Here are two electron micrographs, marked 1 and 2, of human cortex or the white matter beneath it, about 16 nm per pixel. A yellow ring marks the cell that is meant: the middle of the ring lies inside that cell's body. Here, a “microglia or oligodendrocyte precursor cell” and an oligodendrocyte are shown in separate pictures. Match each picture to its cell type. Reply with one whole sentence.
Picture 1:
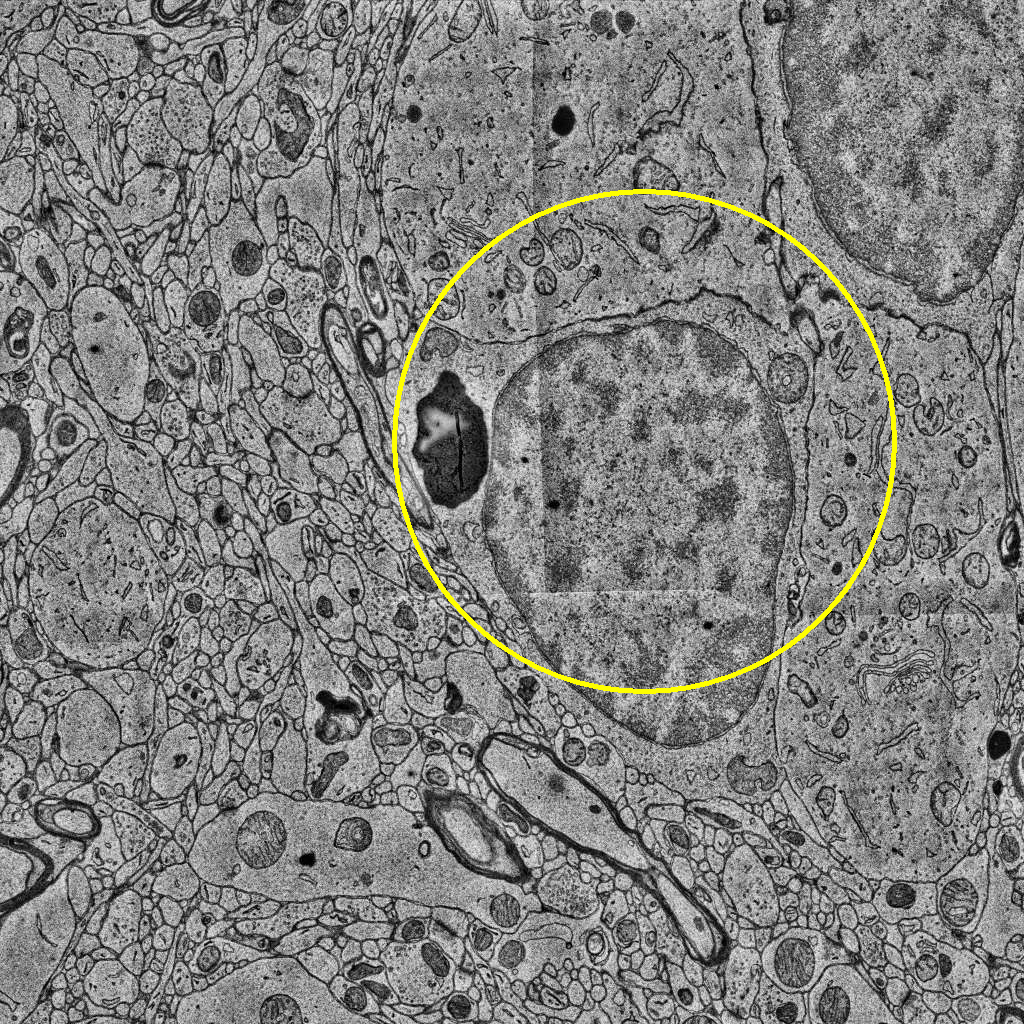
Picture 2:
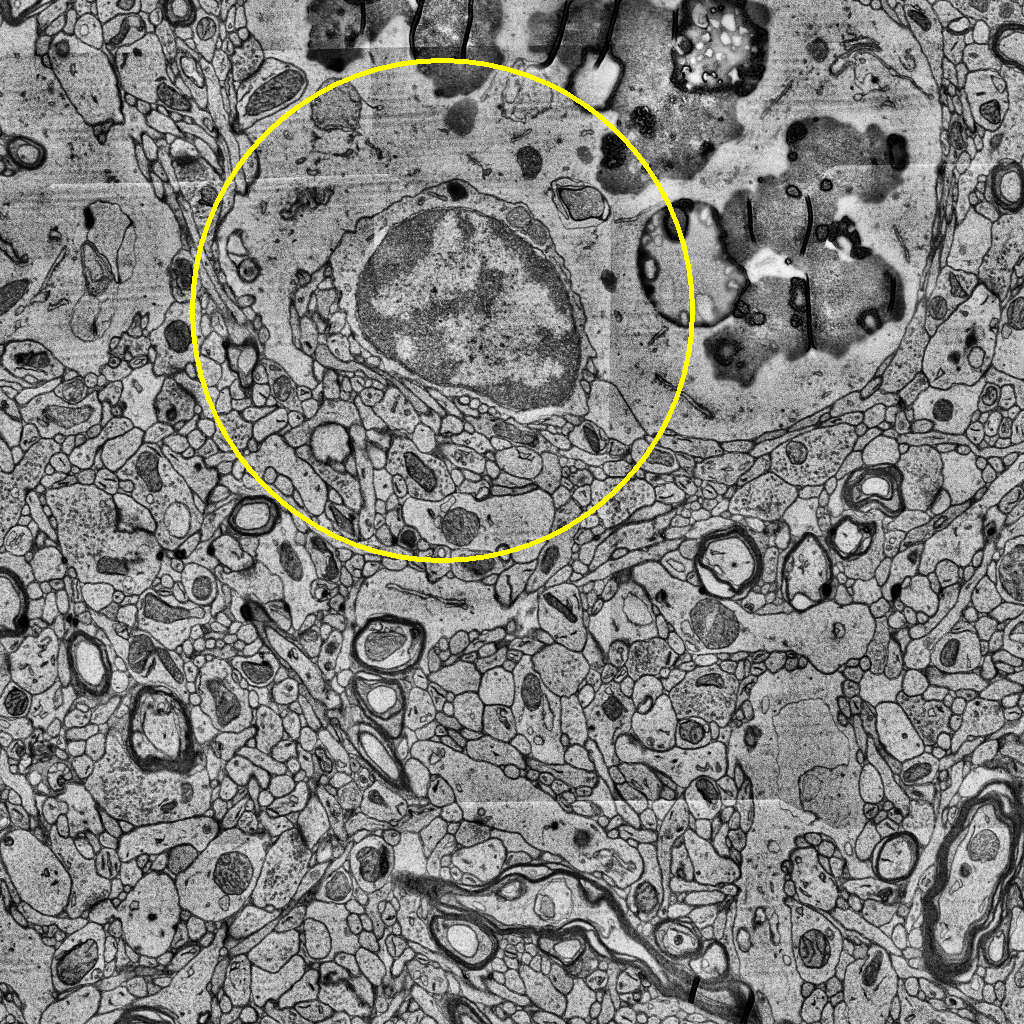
The cell in picture 1 is an oligodendrocyte, and the one in picture 2 is a “microglia or oligodendrocyte precursor cell”.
